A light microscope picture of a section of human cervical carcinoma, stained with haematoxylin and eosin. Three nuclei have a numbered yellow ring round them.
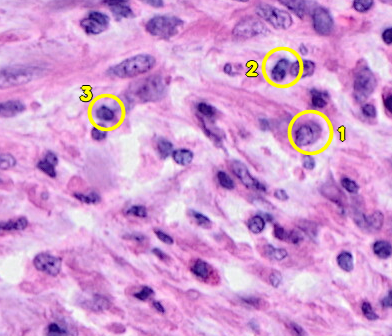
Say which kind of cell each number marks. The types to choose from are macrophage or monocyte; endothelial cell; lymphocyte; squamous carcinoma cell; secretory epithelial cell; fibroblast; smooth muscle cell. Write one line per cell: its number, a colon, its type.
1: macrophage or monocyte
2: lymphocyte
3: lymphocyte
